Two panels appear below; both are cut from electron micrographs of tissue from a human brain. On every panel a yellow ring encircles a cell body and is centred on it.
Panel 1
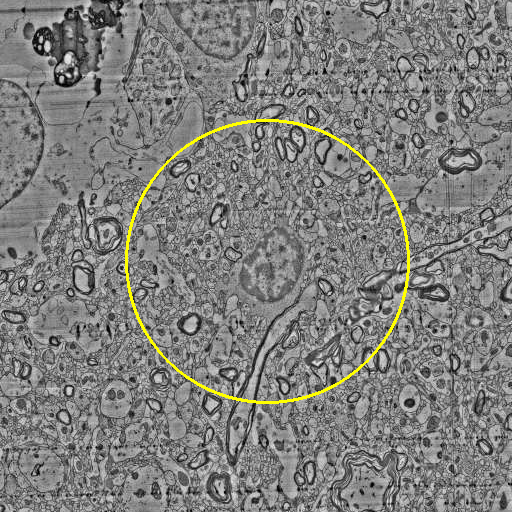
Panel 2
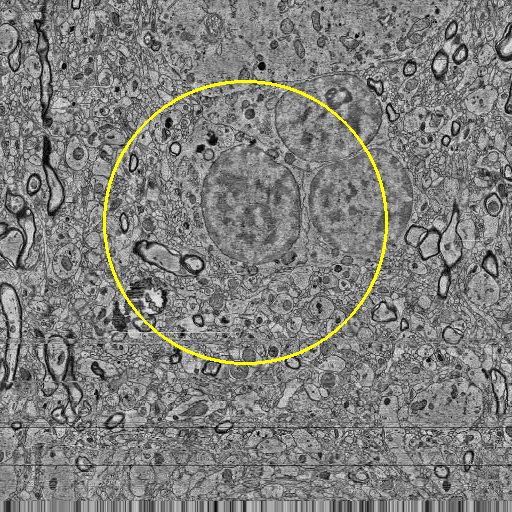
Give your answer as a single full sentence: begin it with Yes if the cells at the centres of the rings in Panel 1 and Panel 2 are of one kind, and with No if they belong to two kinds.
Yes, the cells in the middle of the rings in Panels 1 and 2 are of one kind.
